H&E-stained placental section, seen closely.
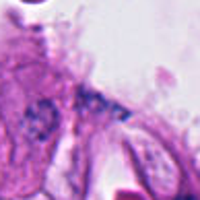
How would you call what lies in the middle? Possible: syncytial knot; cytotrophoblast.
I would call it a cytotrophoblast.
